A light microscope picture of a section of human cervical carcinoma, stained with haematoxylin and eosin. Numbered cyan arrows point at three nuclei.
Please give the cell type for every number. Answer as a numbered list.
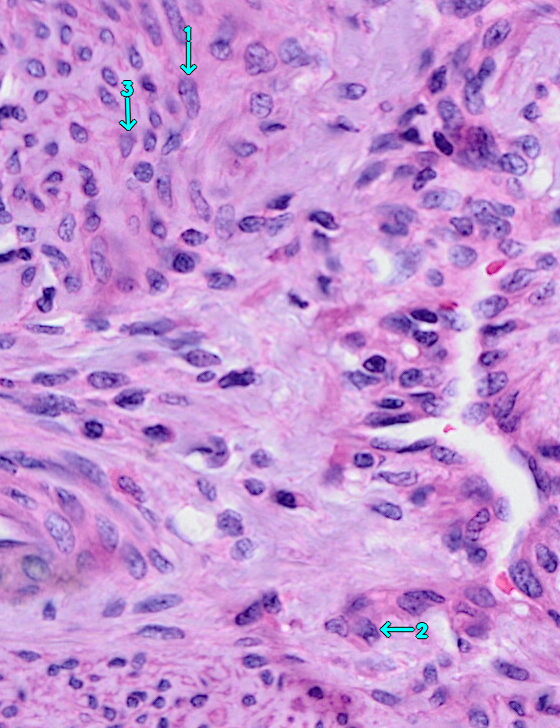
1. smooth muscle cell
2. endothelial cell
3. smooth muscle cell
